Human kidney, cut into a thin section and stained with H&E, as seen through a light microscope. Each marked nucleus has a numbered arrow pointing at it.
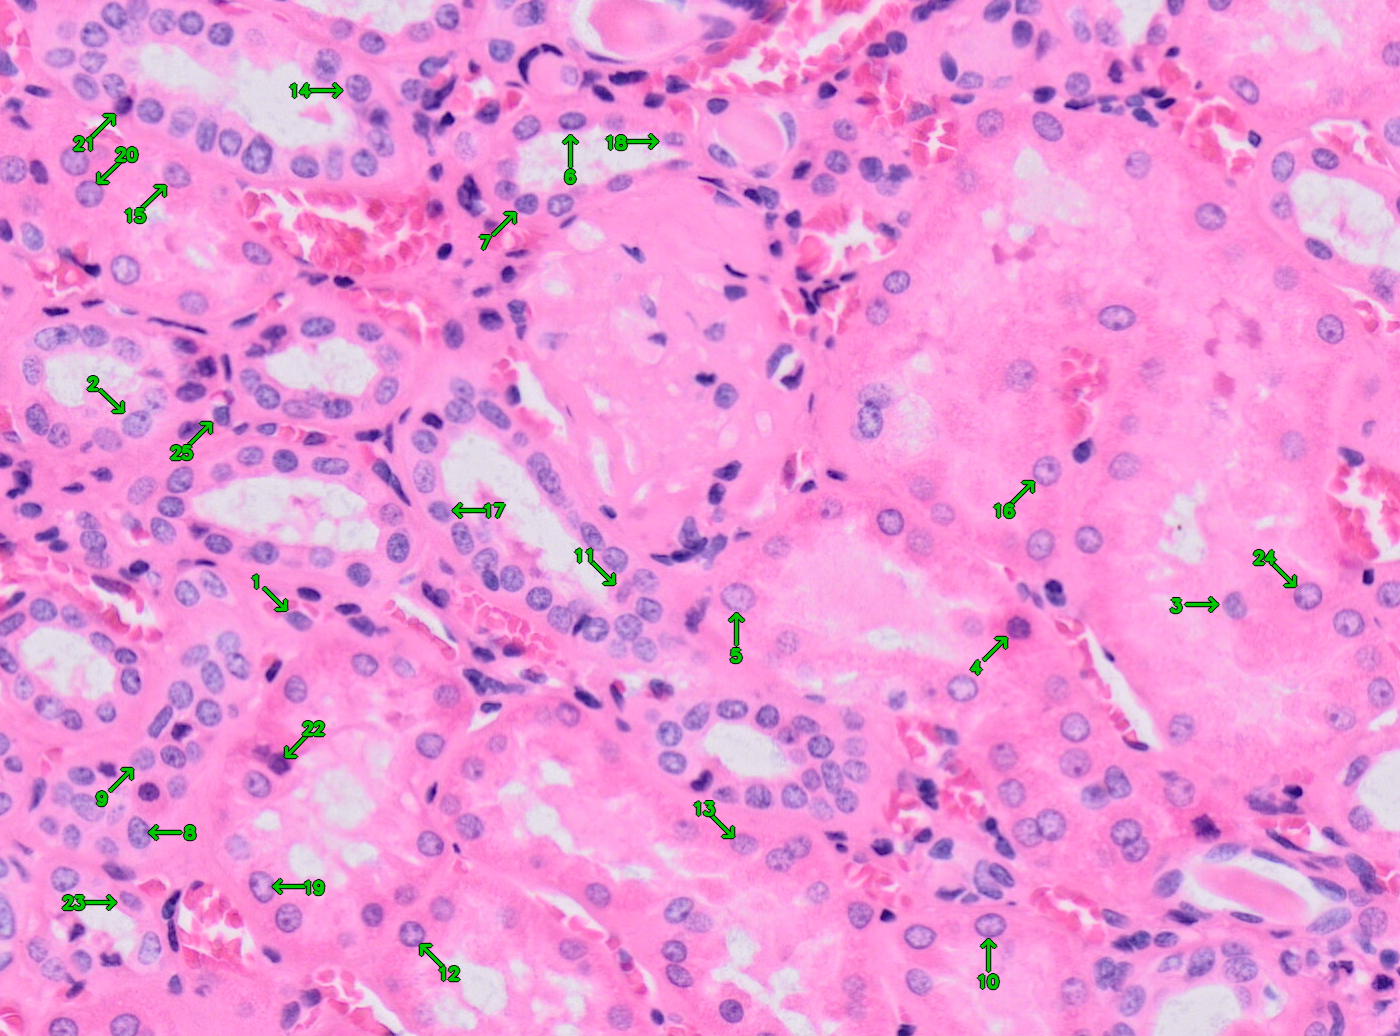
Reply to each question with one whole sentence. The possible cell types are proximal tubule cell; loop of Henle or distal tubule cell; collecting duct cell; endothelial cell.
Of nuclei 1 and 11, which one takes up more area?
Nucleus 1 is the larger one, covering about 2 times the area of nucleus 11.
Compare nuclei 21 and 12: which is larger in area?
Nucleus 12 is the larger one, covering about 1.5 times the area of nucleus 21.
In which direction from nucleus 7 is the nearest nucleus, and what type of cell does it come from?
A loop of Henle or distal tubule cell lies closest, above and to the left of nucleus 7.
